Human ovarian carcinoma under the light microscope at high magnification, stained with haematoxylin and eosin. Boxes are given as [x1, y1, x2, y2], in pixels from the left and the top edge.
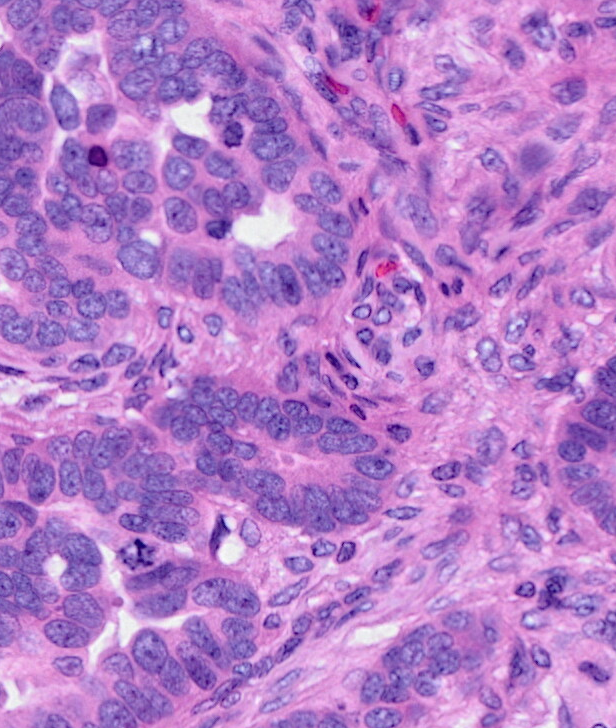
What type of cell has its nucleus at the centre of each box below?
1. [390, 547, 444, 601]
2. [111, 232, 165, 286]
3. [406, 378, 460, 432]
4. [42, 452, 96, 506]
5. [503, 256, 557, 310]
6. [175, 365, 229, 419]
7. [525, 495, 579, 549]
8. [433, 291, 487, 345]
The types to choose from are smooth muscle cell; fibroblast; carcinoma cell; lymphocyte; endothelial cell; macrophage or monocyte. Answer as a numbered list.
1. fibroblast
2. carcinoma cell
3. fibroblast
4. carcinoma cell
5. fibroblast
6. carcinoma cell
7. fibroblast
8. fibroblast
